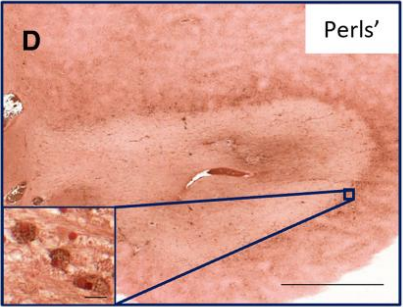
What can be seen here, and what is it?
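Brain tissue with a lesion at low magnification on a pinkish-brown background, with an inset at high magnification. The lesion shows as a somewhat paler rounded area with a slightly darker band toward its edge, and an elongated vessel lies within it. In the inset several rounded cells carry dense dark brown granular deposits in their cytoplasm.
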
